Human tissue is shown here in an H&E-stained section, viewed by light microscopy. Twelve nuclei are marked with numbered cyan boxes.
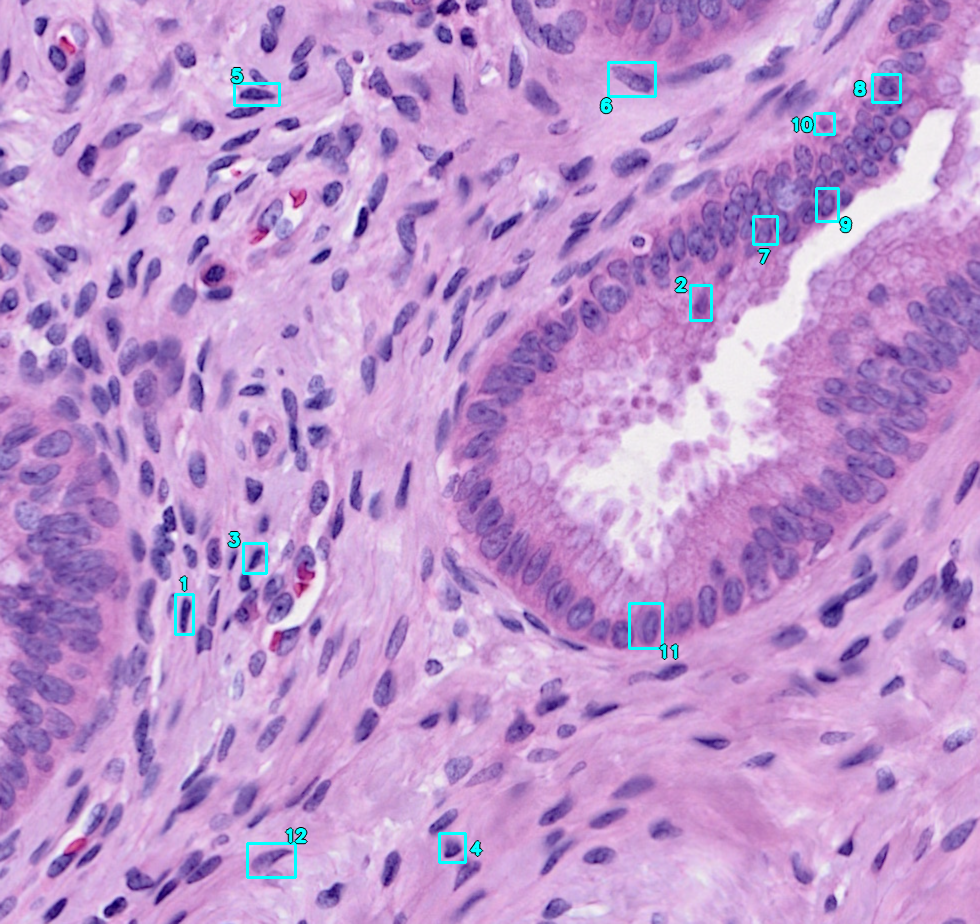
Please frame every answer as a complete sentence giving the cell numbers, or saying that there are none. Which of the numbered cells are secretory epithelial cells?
The cells whose numbers are 2, 7, 8, 9, 10 and 11 are secretory epithelial cells.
